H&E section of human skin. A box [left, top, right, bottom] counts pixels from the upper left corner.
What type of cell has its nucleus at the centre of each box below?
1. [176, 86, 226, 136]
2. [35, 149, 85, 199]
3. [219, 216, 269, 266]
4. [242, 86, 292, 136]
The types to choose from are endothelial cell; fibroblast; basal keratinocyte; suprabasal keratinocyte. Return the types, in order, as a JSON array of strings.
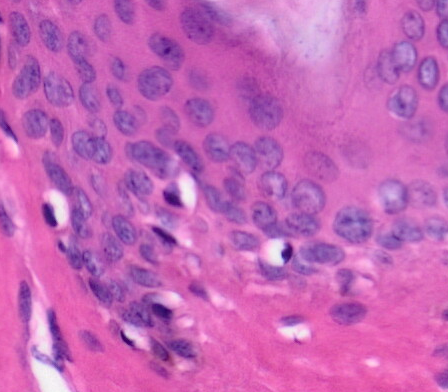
["suprabasal keratinocyte", "basal keratinocyte", "basal keratinocyte", "suprabasal keratinocyte"]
